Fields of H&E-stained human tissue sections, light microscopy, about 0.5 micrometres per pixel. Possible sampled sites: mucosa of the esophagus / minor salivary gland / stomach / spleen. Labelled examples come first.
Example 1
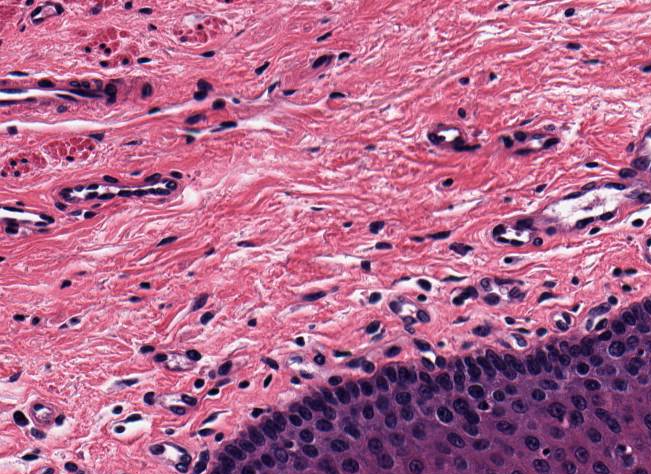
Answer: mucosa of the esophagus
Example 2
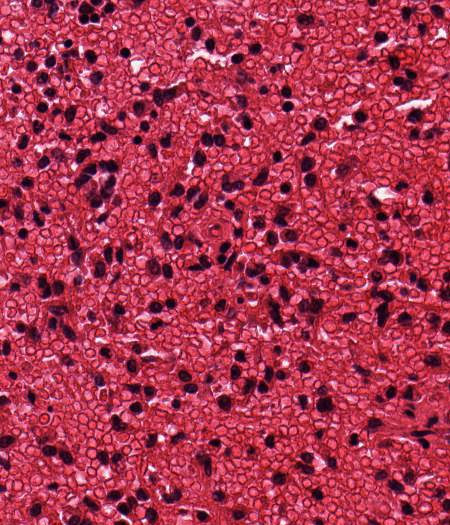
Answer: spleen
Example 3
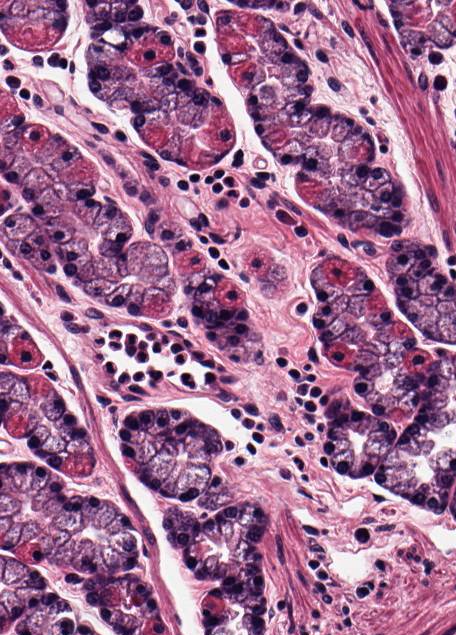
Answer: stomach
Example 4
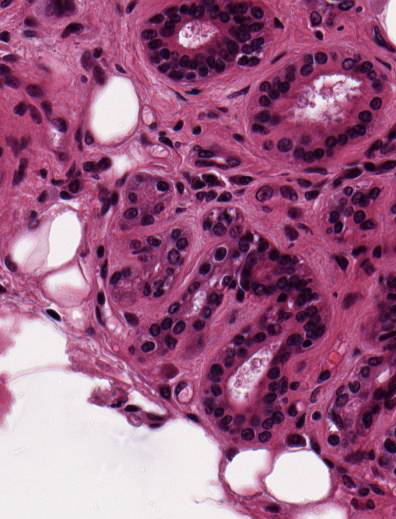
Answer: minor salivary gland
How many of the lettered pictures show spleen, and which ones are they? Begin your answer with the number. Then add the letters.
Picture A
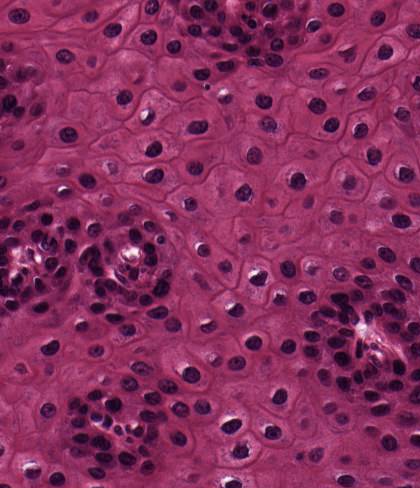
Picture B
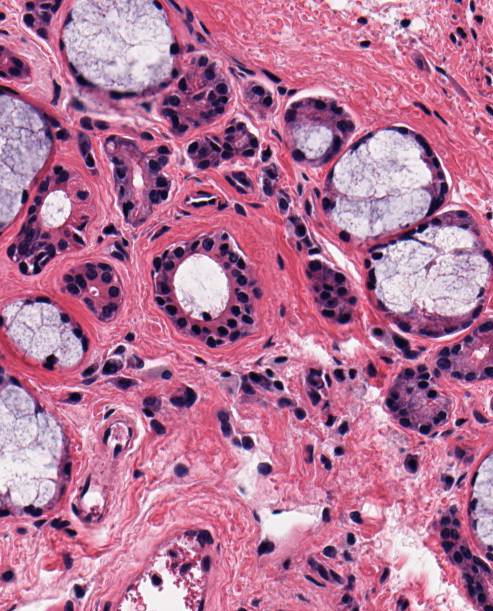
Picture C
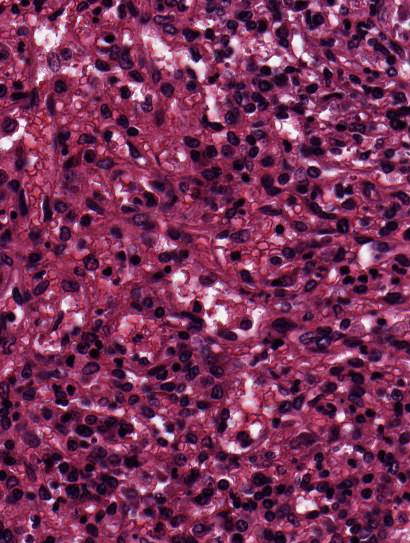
1: C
